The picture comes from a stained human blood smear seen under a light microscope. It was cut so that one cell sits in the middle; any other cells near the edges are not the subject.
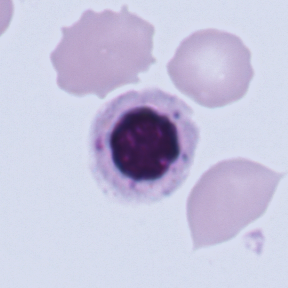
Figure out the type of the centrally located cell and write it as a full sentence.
The central cell in this smear crop is a normoblast.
